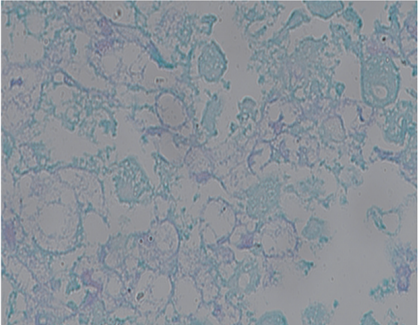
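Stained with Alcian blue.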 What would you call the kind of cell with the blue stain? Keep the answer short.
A: Chondrocytes.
